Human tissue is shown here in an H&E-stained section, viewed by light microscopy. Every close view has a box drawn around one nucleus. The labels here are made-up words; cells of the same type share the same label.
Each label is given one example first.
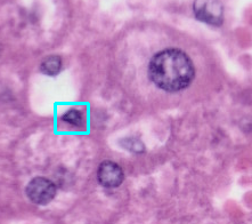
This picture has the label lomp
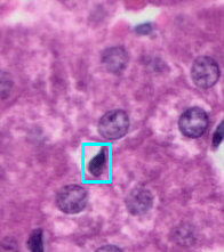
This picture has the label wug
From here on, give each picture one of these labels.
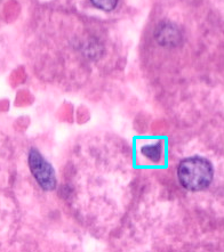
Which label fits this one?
wug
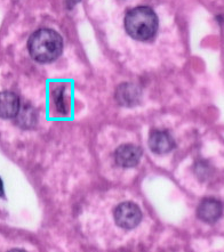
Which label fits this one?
wug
